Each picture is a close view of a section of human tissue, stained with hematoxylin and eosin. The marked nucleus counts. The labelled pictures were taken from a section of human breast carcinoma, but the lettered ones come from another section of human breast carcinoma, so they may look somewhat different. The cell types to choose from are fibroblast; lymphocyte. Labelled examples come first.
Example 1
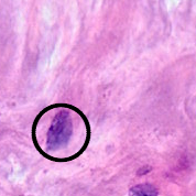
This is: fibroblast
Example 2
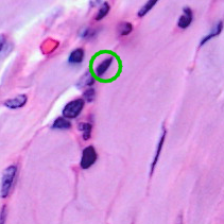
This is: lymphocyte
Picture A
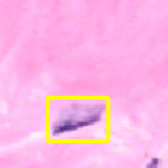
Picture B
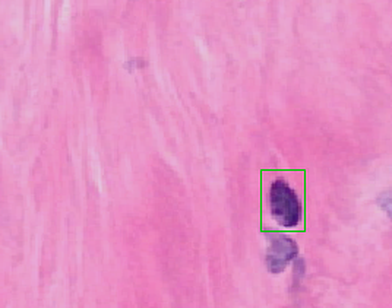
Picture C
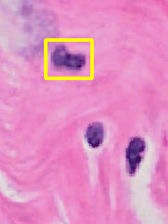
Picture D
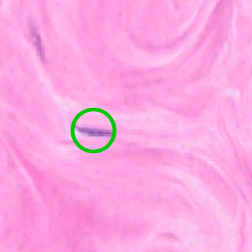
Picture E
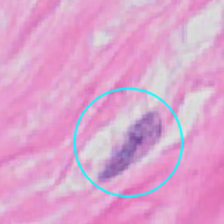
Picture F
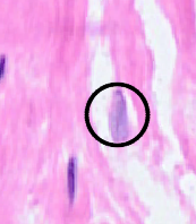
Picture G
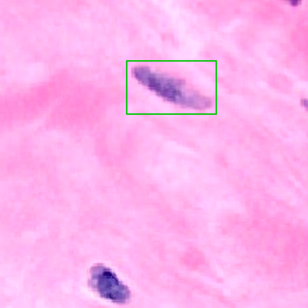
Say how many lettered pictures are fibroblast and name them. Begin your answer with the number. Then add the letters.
5, namely A, D, E, F, G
